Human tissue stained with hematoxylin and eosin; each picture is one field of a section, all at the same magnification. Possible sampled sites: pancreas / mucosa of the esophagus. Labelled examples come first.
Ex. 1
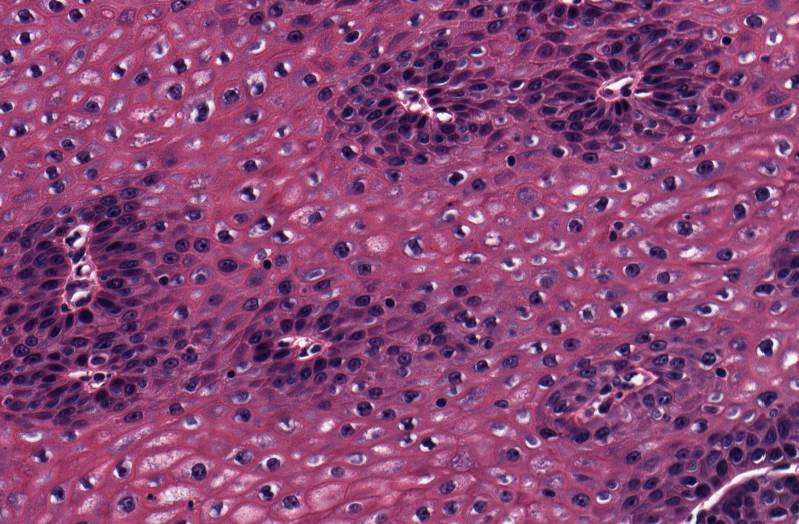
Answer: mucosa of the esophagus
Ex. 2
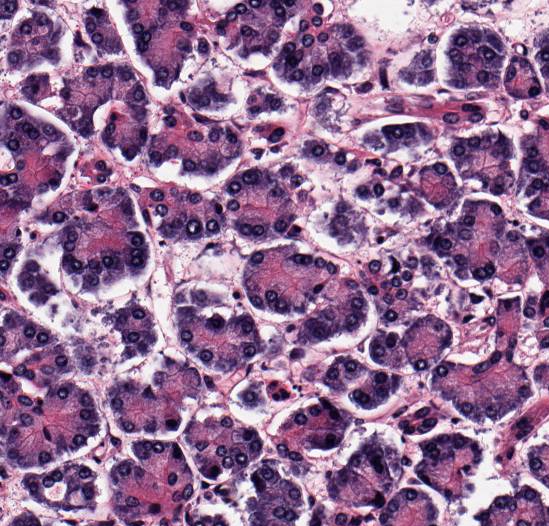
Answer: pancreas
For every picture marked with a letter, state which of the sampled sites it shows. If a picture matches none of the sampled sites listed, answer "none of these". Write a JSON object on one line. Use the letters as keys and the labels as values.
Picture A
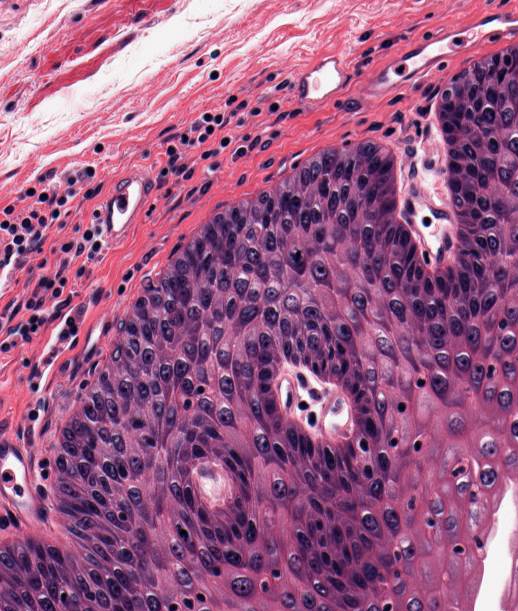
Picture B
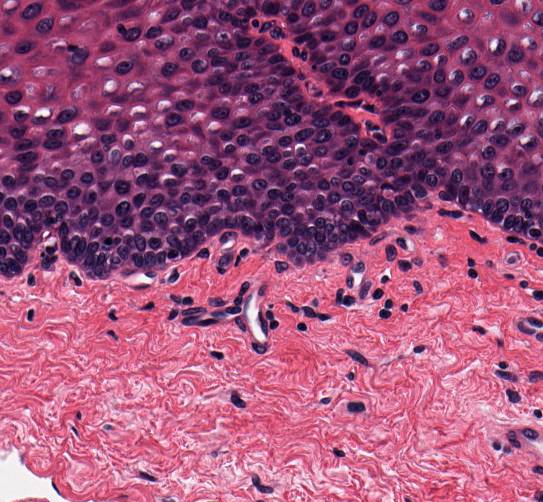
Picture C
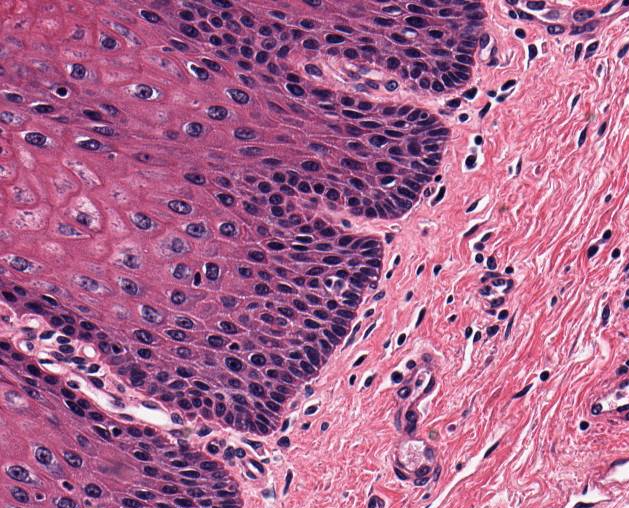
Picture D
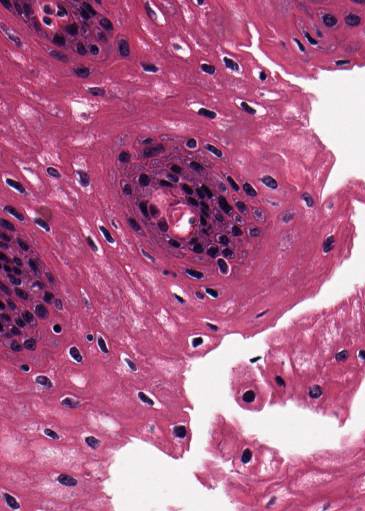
{"A": "mucosa of the esophagus", "B": "mucosa of the esophagus", "C": "mucosa of the esophagus", "D": "mucosa of the esophagus"}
